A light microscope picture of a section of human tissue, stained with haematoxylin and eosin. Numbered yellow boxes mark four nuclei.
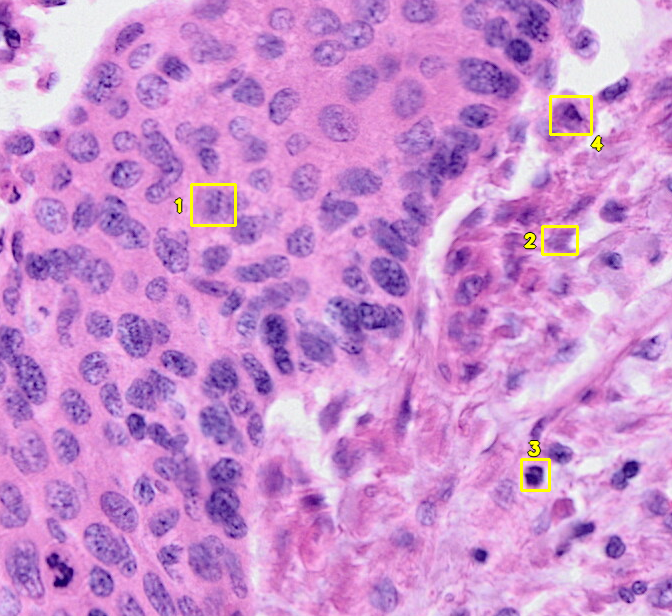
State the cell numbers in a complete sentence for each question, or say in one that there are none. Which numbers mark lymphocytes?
With the exception of cell 3, no marked cell is a lymphocyte.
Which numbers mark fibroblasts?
With the exception of cell 2, no marked cell is a fibroblast.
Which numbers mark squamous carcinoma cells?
Cell 1 represents a squamous carcinoma cell, and no other numbered cell does.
